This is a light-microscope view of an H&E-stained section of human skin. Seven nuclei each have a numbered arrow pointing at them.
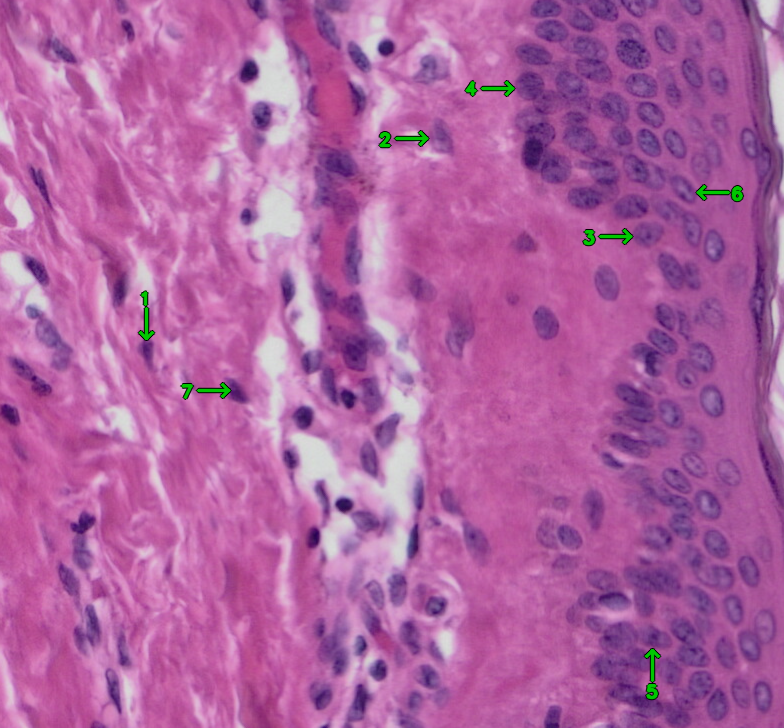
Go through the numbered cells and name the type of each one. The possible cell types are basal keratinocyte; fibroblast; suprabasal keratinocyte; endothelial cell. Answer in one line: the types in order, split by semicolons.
fibroblast; fibroblast; basal keratinocyte; basal keratinocyte; basal keratinocyte; suprabasal keratinocyte; fibroblast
